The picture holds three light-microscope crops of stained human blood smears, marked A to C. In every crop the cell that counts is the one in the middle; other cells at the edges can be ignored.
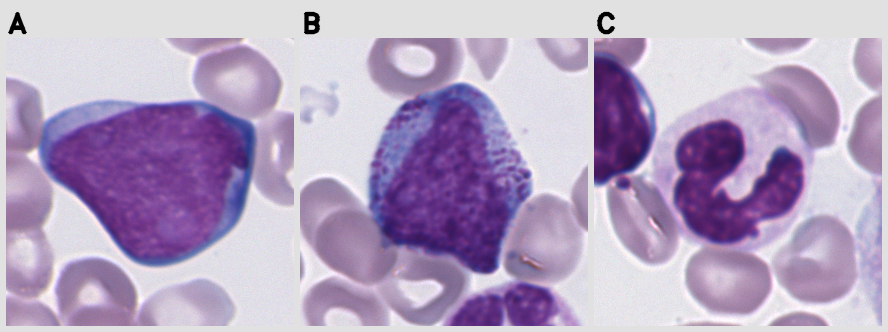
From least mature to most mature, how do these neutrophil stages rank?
A, B, C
